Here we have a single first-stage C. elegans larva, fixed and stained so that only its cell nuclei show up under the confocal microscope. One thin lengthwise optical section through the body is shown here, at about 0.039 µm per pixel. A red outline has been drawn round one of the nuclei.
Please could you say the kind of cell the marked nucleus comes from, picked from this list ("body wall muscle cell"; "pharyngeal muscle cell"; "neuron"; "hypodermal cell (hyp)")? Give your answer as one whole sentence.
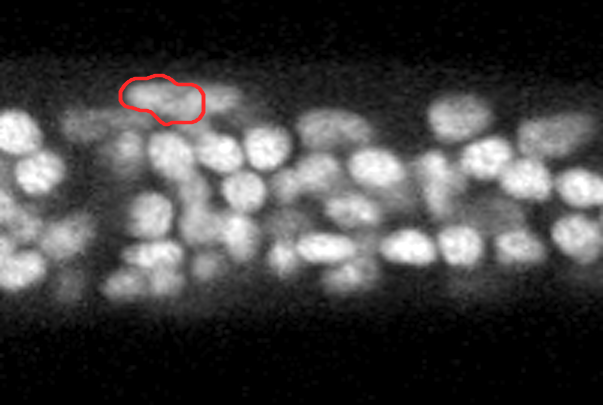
This nucleus is from a body wall muscle cell.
